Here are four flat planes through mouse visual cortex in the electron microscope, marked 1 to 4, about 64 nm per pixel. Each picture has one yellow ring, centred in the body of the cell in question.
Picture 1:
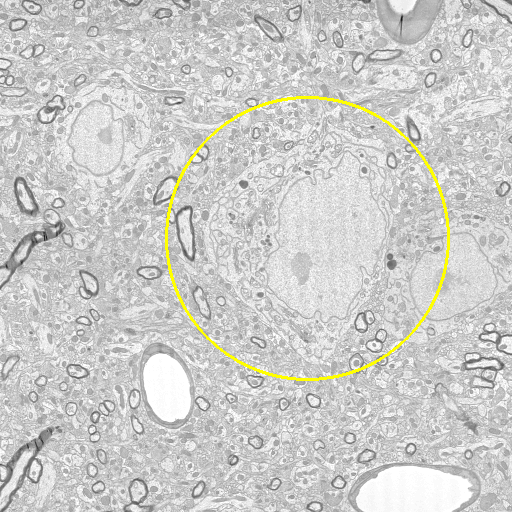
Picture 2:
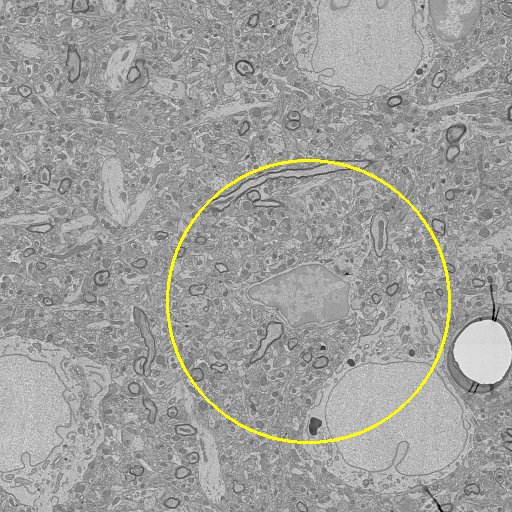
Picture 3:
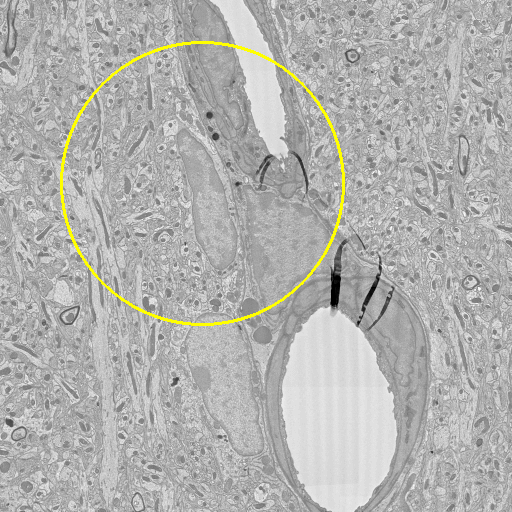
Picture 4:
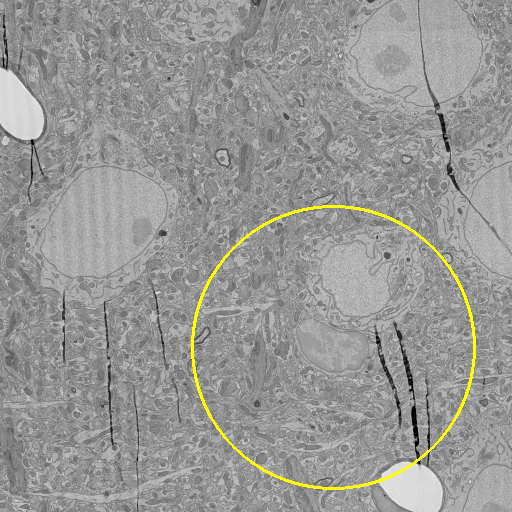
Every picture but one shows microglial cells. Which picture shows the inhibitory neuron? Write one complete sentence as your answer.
Picture 1 shows the inhibitory neuron.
